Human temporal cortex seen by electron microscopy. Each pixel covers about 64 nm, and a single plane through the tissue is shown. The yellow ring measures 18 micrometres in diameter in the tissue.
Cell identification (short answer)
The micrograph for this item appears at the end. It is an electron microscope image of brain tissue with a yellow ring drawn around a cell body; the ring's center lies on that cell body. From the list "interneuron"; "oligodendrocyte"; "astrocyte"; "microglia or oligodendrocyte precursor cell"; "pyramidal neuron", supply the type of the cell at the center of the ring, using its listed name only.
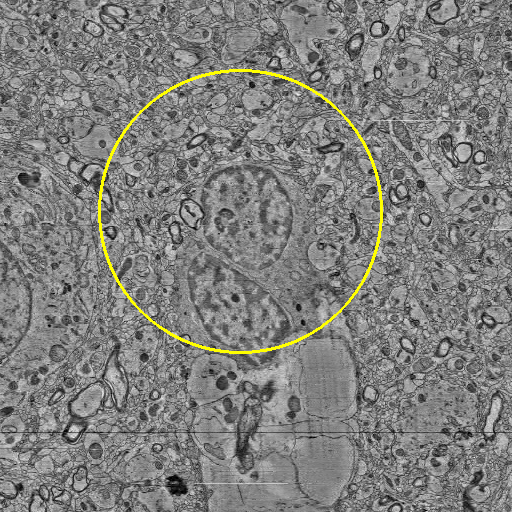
oligodendrocyte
